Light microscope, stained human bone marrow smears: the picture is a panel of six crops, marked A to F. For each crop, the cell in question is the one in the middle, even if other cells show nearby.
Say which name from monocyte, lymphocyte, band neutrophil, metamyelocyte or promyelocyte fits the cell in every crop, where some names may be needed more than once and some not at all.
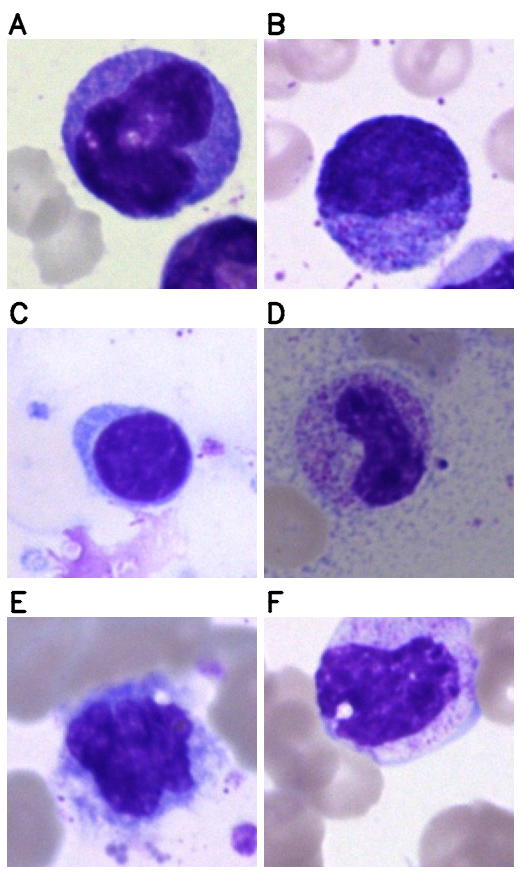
A: monocyte
B: promyelocyte
C: lymphocyte
D: band neutrophil
E: monocyte
F: metamyelocyte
